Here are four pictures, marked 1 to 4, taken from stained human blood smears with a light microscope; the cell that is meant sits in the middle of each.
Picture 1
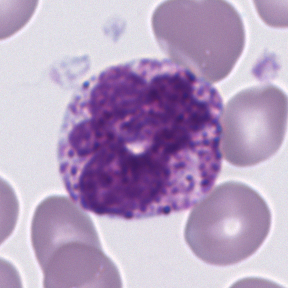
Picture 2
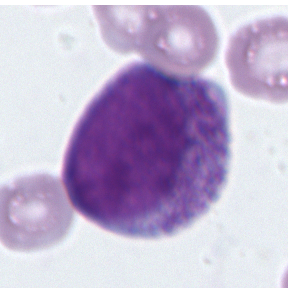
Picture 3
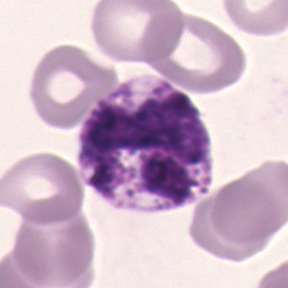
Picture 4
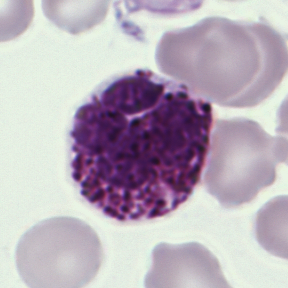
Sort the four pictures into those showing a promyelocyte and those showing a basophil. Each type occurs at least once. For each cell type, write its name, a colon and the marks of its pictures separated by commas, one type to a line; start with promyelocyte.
promyelocyte: 2
basophil: 1, 3, 4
